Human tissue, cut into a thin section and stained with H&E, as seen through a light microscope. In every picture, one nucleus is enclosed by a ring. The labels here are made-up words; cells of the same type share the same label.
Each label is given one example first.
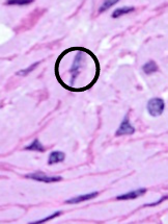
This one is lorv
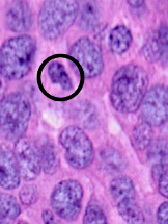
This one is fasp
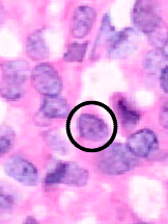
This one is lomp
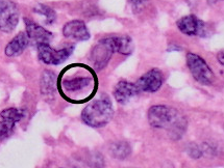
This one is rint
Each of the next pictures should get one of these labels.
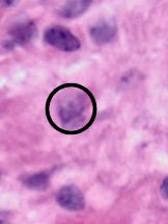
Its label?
lorv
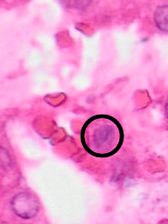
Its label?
fasp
